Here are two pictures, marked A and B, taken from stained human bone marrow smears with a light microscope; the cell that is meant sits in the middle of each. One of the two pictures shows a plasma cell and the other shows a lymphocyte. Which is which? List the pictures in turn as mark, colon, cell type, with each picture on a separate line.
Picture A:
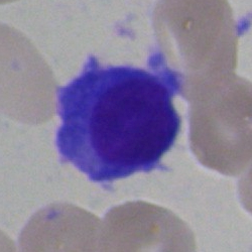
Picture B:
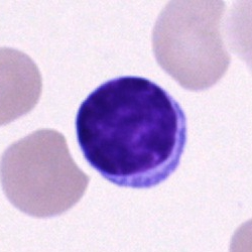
A: plasma cell
B: lymphocyte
